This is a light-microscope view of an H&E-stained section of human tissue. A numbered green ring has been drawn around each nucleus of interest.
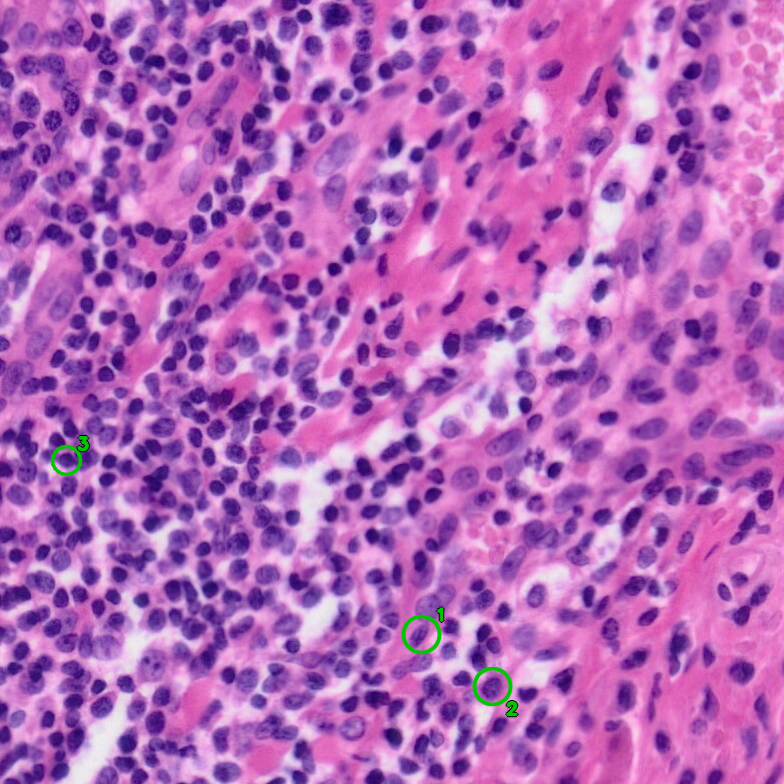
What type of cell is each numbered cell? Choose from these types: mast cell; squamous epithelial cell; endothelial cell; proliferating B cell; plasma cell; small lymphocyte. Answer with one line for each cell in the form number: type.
1: endothelial cell
2: plasma cell
3: small lymphocyte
